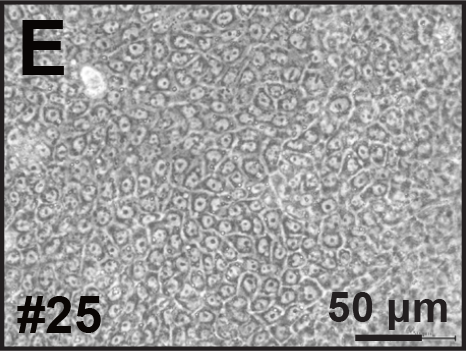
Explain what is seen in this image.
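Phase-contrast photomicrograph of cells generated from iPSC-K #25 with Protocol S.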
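The cells are polygonal and fit against one another edge to edge, giving a cobblestone pattern across the whole field. Their borders show as thin bright or dark lines between neighbours. Each cell holds a round nucleus near its centre, and within many nuclei a small dark nucleolus can be made out. The cytoplasm around the nucleus looks fairly even and moderately granular, with no long processes extending from the cells.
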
